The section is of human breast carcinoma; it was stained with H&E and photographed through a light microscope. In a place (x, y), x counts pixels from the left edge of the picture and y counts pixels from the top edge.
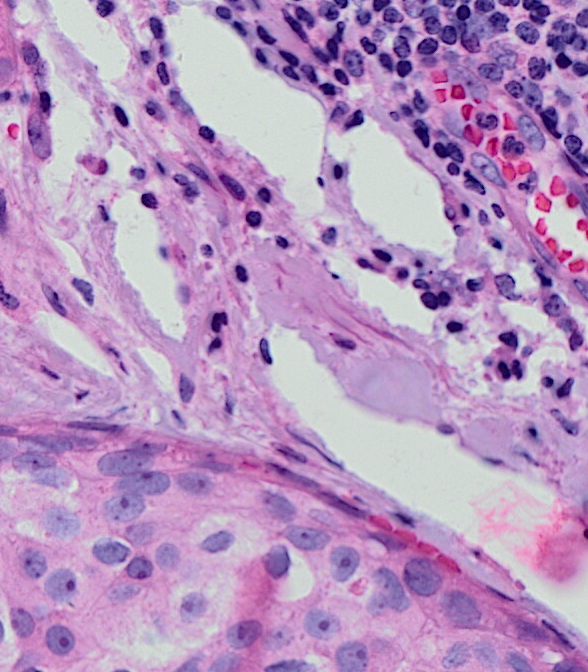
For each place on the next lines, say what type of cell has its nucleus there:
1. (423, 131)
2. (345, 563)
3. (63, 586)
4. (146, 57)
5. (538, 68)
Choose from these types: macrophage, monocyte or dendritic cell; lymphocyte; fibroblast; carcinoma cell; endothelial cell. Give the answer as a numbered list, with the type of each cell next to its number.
1. lymphocyte
2. carcinoma cell
3. carcinoma cell
4. lymphocyte
5. lymphocyte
